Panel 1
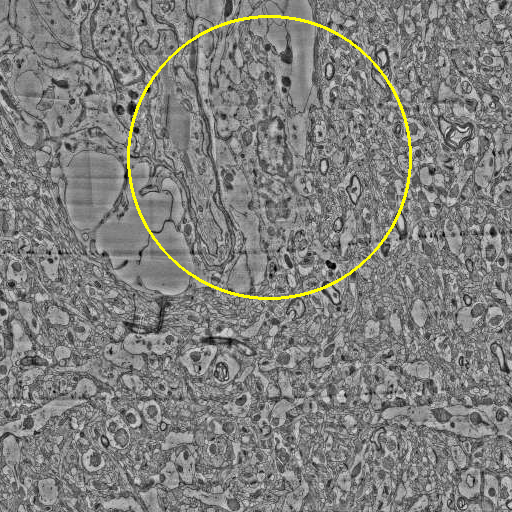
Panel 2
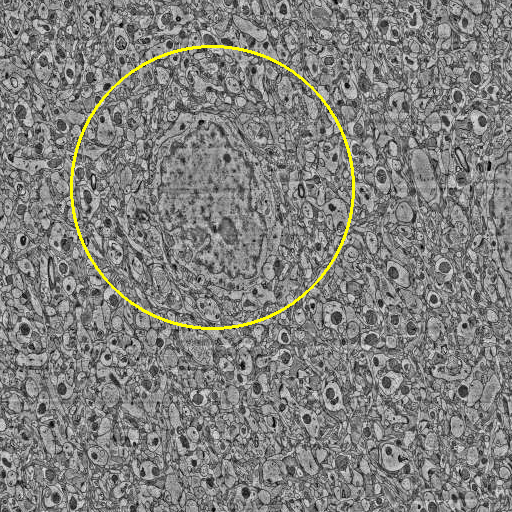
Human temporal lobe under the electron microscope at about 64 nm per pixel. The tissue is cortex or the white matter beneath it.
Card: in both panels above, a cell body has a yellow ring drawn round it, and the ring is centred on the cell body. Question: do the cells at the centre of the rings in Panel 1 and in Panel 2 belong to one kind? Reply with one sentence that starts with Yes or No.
No, the cells centred in the rings of Panel 1 and Panel 2 are two kinds of cell.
